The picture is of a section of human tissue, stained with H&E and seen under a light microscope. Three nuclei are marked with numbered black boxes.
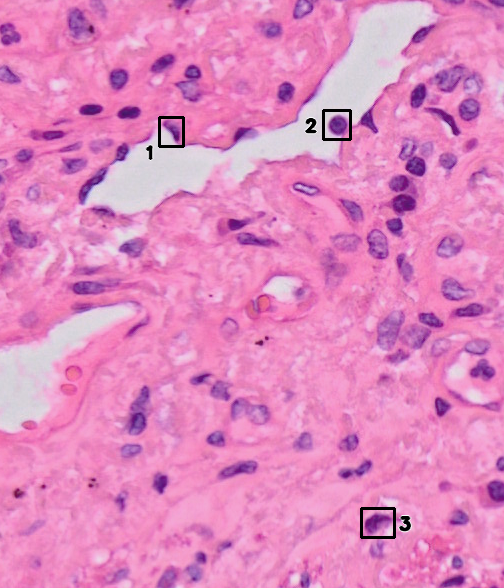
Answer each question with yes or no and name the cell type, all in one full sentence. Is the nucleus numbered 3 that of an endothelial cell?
No, the cell bearing number 3 is not an endothelial cell but a plasma cell.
